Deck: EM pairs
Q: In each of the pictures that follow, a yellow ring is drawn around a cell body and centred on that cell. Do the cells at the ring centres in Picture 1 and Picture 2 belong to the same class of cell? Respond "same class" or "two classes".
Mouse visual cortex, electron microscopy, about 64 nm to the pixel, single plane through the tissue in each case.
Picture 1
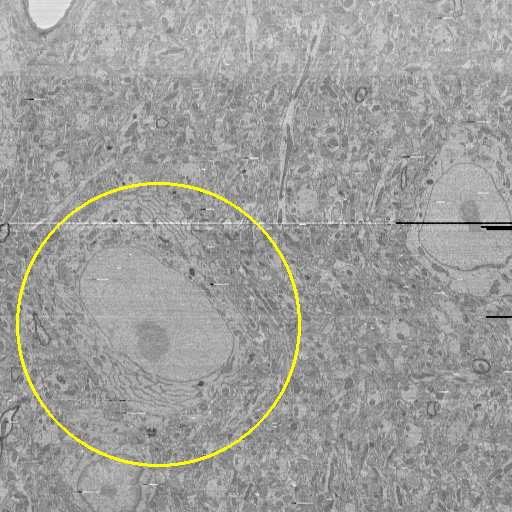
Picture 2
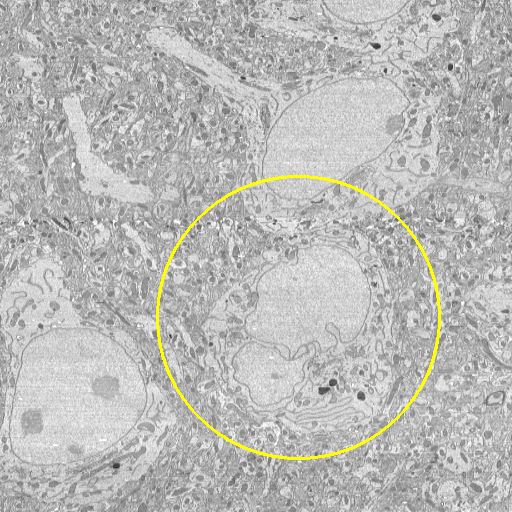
two classes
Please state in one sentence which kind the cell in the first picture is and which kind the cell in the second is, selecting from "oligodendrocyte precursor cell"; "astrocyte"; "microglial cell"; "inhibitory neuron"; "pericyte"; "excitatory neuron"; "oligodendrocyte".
The first ringed cell is an excitatory neuron, the second ringed cell an inhibitory neuron.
